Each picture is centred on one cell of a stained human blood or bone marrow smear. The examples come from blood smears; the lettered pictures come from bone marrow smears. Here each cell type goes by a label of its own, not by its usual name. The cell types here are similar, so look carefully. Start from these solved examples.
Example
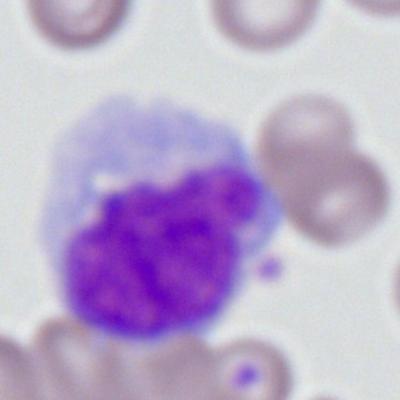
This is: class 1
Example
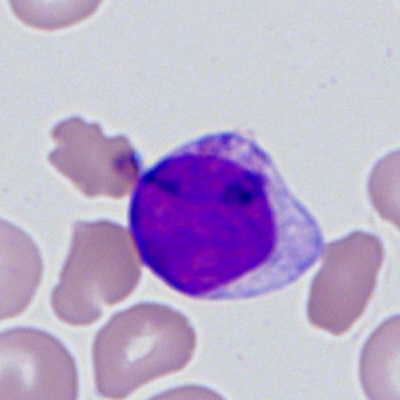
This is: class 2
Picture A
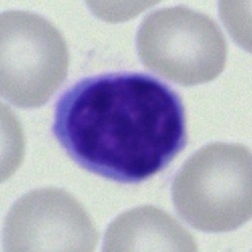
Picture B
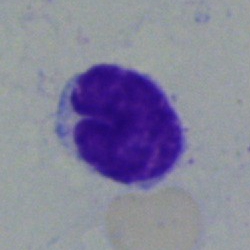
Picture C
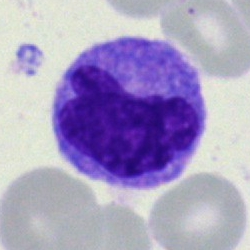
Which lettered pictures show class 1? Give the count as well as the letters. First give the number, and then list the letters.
1: C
